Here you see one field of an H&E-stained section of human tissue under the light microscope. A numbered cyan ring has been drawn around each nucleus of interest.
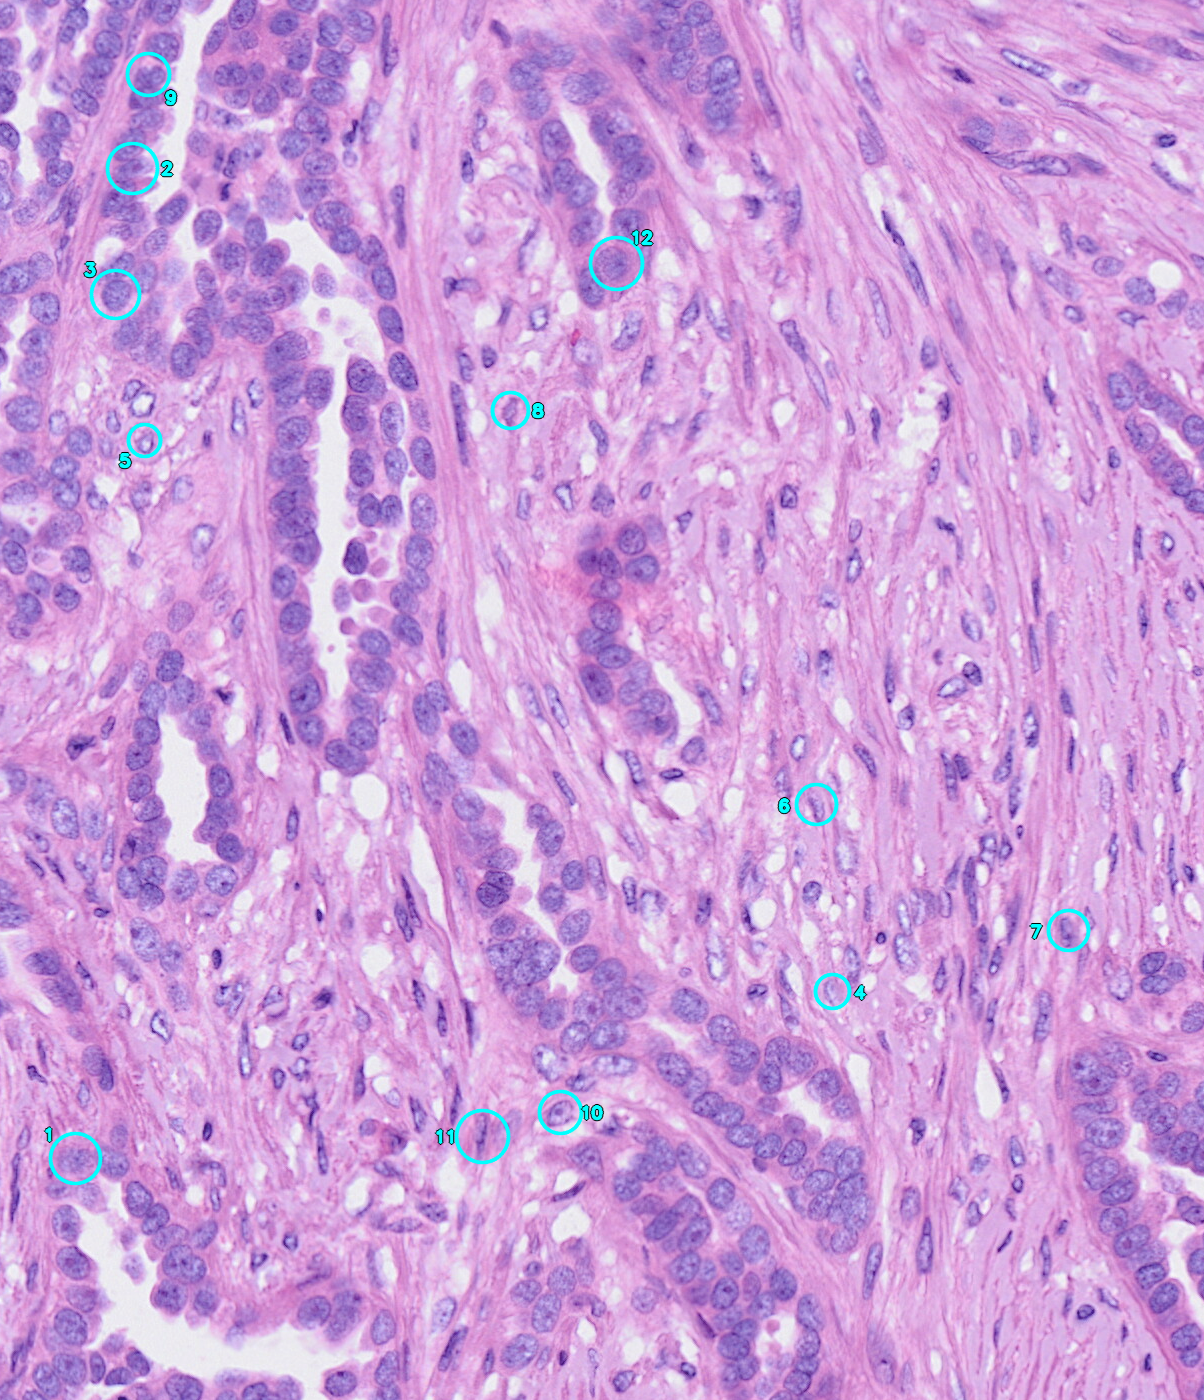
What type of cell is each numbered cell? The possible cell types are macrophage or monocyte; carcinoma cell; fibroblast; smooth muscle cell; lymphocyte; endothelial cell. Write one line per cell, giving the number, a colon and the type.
1: carcinoma cell
2: carcinoma cell
3: carcinoma cell
4: fibroblast
5: fibroblast
6: fibroblast
7: fibroblast
8: fibroblast
9: carcinoma cell
10: fibroblast
11: fibroblast
12: carcinoma cell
